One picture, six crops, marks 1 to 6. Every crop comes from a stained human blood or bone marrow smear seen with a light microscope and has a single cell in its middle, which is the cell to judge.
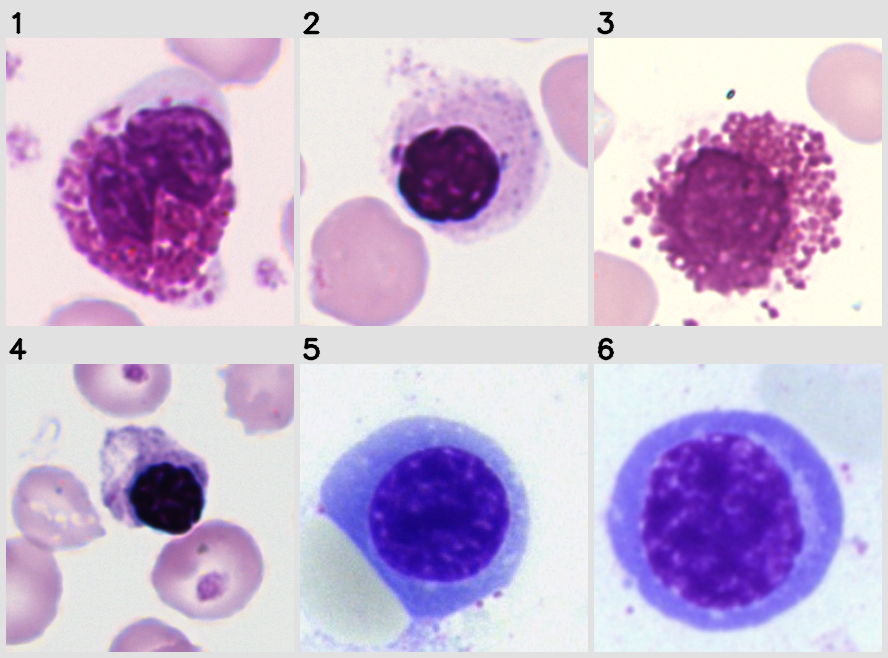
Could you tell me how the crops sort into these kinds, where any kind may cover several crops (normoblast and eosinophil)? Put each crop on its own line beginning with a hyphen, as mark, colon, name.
- 1: eosinophil
- 2: normoblast
- 3: eosinophil
- 4: normoblast
- 5: normoblast
- 6: normoblast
